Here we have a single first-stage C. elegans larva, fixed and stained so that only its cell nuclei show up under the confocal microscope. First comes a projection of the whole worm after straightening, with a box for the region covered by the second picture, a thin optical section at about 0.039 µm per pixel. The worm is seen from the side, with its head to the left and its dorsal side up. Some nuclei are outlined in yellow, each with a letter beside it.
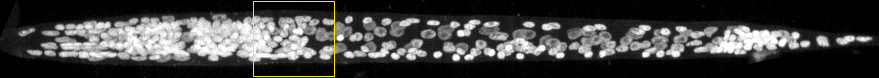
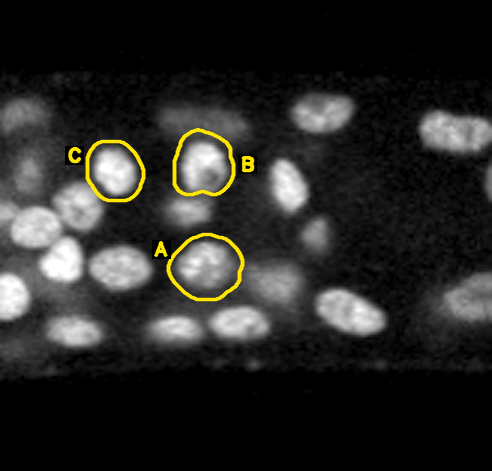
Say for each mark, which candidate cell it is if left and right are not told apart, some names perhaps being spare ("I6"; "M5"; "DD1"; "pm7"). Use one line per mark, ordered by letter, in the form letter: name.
A: pm7
B: M5
C: I6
